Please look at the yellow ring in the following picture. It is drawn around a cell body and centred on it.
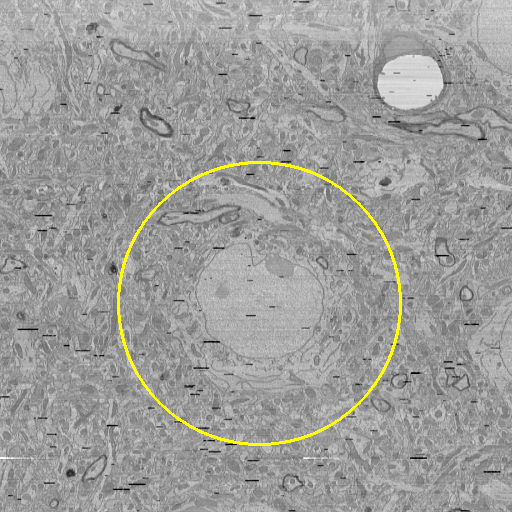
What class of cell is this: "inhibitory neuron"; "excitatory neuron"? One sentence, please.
The ring surrounds the cell body of an excitatory neuron.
